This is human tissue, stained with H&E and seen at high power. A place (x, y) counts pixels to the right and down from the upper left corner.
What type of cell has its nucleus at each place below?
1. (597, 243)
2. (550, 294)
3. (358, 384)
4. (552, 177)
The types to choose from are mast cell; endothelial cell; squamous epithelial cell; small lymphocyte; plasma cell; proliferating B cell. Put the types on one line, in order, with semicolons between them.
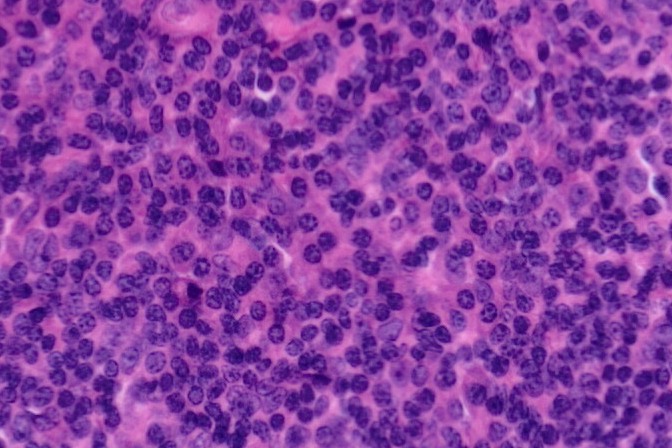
small lymphocyte; small lymphocyte; small lymphocyte; plasma cell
